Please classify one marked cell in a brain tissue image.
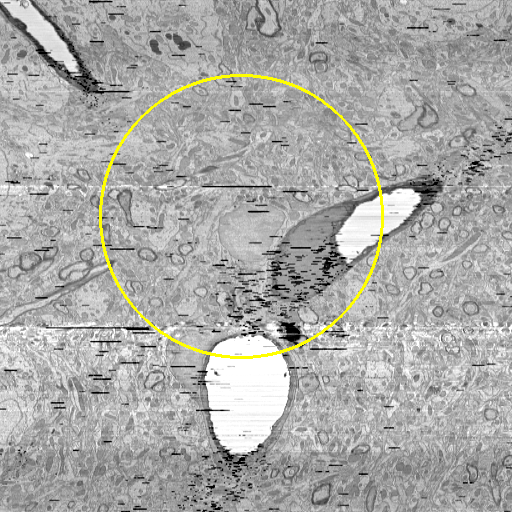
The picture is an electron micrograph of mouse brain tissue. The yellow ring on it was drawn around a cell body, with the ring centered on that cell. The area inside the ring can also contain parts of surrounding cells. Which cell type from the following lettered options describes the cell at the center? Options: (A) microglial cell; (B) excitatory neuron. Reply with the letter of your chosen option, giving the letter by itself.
A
